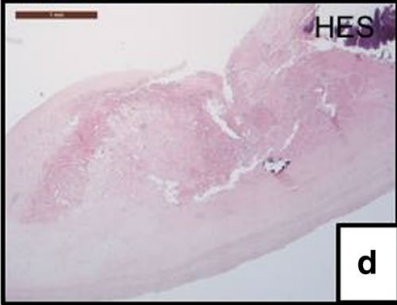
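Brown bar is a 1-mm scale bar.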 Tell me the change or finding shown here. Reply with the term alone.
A: Atheromatous plaque.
